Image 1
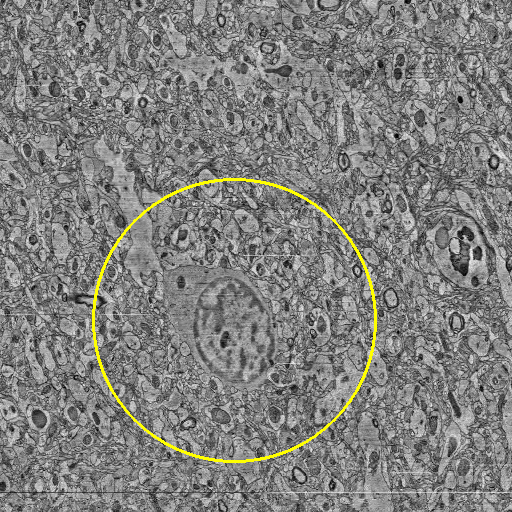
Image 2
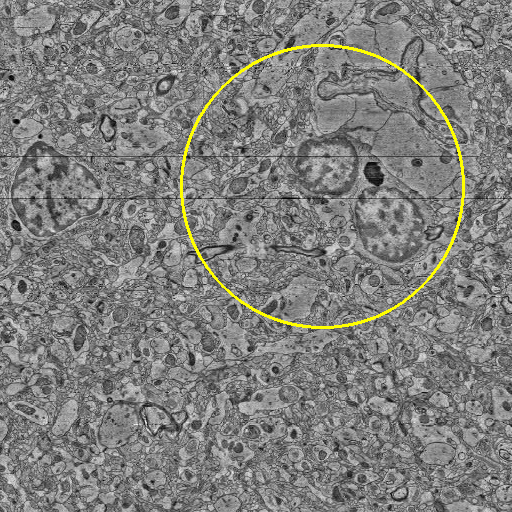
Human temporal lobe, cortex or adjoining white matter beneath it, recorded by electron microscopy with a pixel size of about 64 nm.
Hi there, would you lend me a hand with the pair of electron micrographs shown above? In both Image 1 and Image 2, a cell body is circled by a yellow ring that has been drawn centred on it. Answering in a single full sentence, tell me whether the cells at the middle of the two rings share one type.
Yes, the ringed cells in Image 1 and Image 2 share one type.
